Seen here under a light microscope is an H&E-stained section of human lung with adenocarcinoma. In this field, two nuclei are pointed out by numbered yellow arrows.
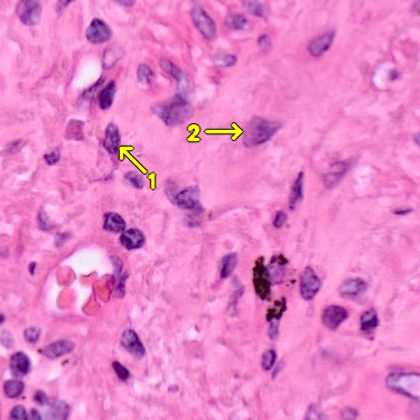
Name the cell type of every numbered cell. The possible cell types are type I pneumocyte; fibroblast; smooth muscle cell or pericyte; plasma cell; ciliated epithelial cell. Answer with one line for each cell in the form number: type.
1: plasma cell
2: fibroblast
